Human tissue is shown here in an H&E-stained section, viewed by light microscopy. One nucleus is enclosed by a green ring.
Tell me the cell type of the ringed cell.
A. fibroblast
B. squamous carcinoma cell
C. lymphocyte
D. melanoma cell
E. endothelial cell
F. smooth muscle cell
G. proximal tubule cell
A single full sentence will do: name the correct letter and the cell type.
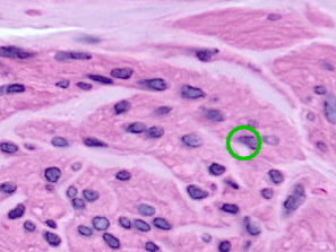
Option F correctly identifies the ringed cell as a smooth muscle cell.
